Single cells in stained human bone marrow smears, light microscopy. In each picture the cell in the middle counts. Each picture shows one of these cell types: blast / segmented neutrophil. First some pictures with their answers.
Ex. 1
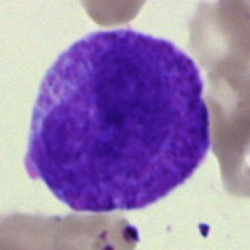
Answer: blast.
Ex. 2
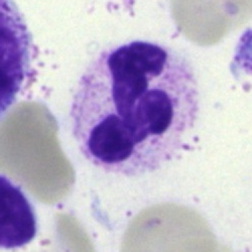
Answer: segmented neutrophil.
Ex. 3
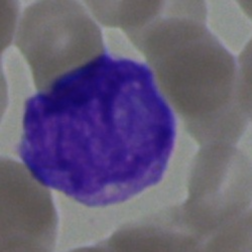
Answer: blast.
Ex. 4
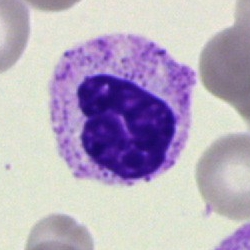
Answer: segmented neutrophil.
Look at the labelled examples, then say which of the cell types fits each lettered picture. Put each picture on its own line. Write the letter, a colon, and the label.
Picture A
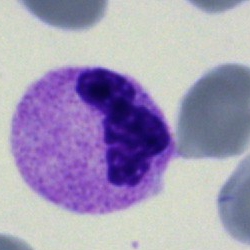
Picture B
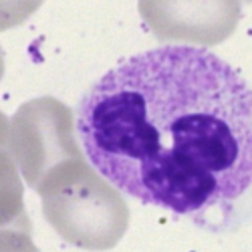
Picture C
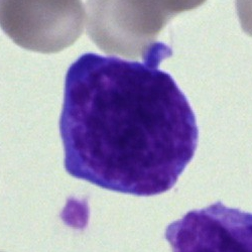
A: segmented neutrophil.
B: segmented neutrophil.
C: blast.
